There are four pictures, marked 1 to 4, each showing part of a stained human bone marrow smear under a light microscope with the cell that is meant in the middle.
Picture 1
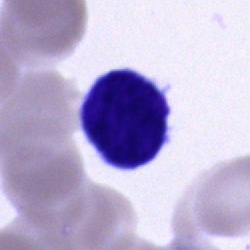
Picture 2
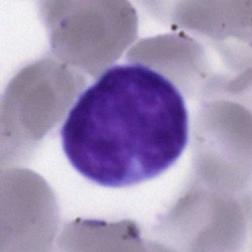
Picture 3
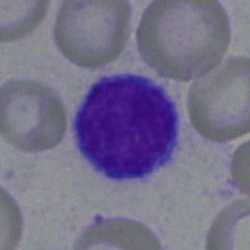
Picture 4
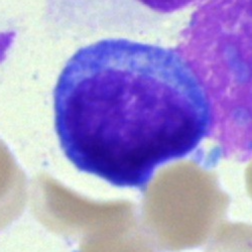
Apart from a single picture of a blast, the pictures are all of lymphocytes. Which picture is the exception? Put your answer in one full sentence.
The picture with the blast is 4.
